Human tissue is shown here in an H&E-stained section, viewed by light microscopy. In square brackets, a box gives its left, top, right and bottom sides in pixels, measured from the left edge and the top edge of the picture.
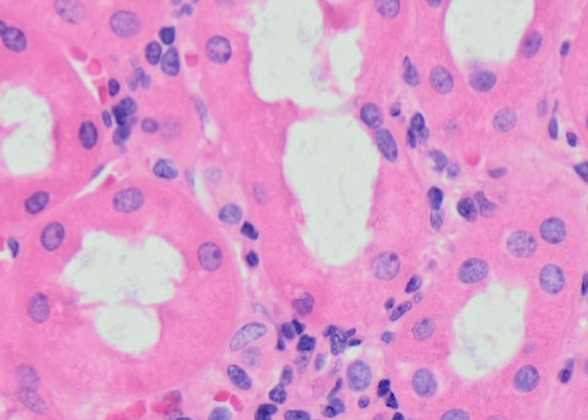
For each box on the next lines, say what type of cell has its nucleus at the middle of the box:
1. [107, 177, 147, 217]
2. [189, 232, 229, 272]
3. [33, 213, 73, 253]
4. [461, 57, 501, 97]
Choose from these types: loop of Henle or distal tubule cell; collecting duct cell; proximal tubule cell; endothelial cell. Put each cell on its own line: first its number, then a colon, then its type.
1: proximal tubule cell
2: proximal tubule cell
3: proximal tubule cell
4: loop of Henle or distal tubule cell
